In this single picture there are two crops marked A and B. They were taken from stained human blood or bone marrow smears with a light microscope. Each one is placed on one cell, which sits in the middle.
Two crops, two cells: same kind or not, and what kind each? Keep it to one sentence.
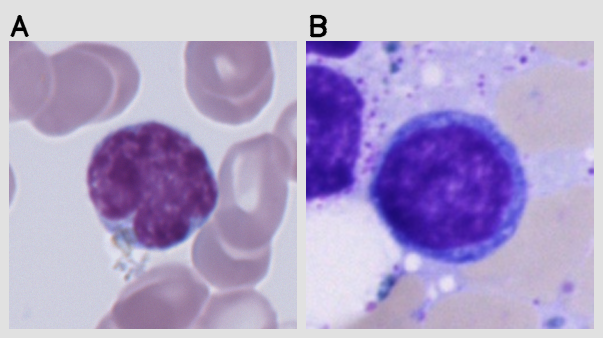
No, the cell in crop A is a blast and the one in crop B is a lymphocyte.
